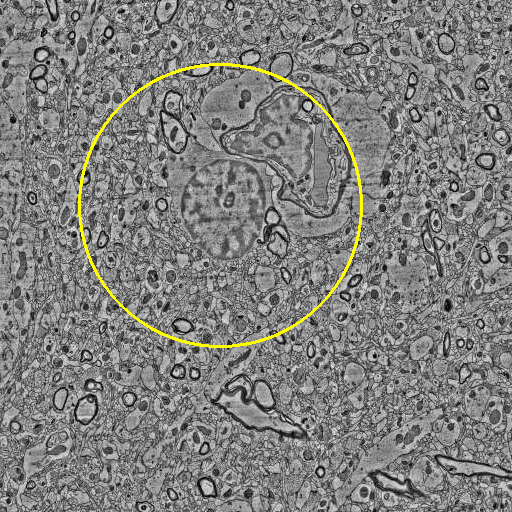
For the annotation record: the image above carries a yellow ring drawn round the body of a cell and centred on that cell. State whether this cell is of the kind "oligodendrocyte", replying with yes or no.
Yes, this cell is of that kind.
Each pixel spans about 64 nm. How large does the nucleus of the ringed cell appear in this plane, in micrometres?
In this plane, the nucleus is roughly 6 by 5 micrometres.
